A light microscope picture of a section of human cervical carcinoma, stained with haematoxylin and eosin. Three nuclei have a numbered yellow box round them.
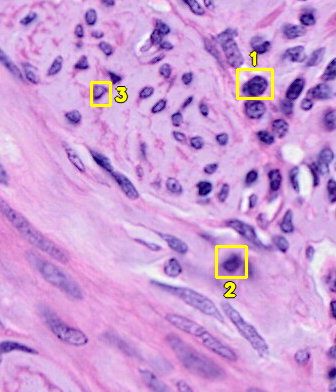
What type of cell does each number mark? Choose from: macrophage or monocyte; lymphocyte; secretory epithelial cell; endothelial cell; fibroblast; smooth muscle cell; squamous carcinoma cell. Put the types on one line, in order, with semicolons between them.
lymphocyte; lymphocyte; smooth muscle cell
